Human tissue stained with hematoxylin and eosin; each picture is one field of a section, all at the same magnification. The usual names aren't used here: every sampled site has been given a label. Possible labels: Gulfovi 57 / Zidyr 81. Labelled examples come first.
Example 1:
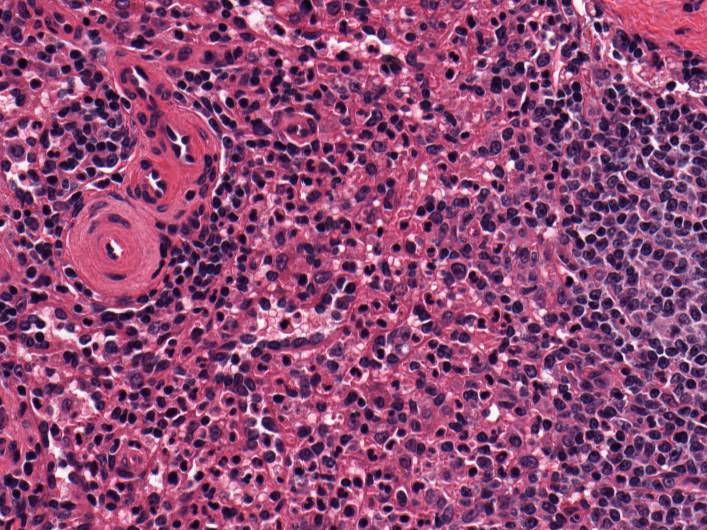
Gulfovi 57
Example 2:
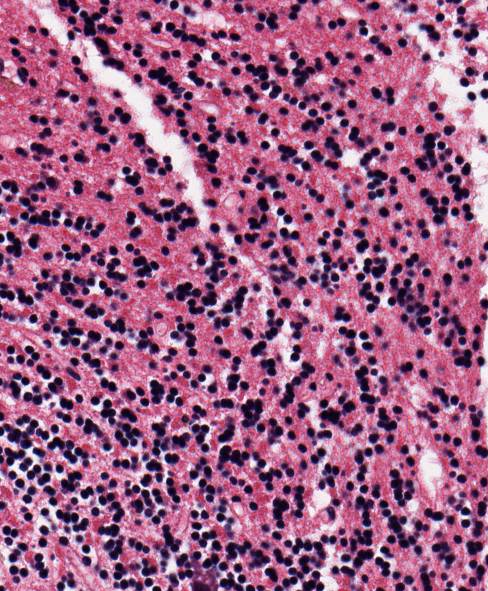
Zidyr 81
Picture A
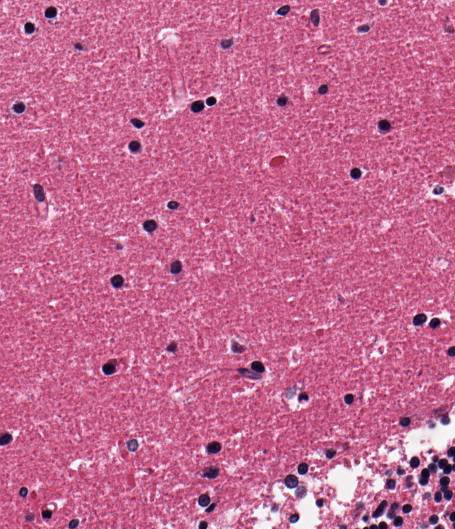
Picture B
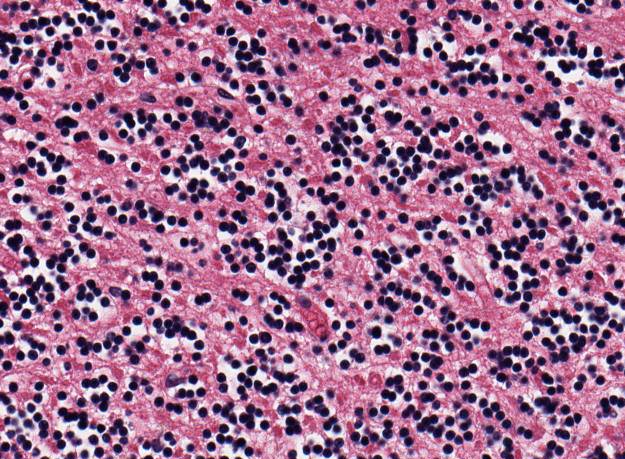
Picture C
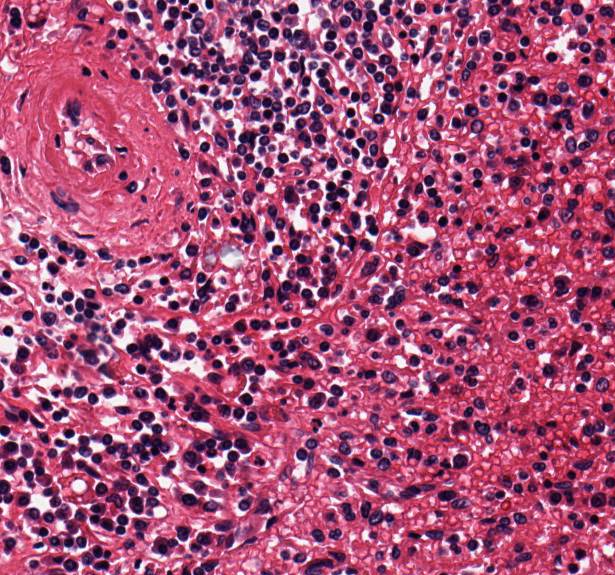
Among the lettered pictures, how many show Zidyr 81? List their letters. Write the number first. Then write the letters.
2: A, B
